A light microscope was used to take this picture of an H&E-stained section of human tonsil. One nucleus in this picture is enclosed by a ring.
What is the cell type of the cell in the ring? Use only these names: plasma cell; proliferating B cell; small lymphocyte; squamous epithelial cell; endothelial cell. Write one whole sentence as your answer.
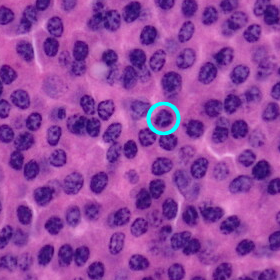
The cell type of the cell in the ring is that of a plasma cell.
